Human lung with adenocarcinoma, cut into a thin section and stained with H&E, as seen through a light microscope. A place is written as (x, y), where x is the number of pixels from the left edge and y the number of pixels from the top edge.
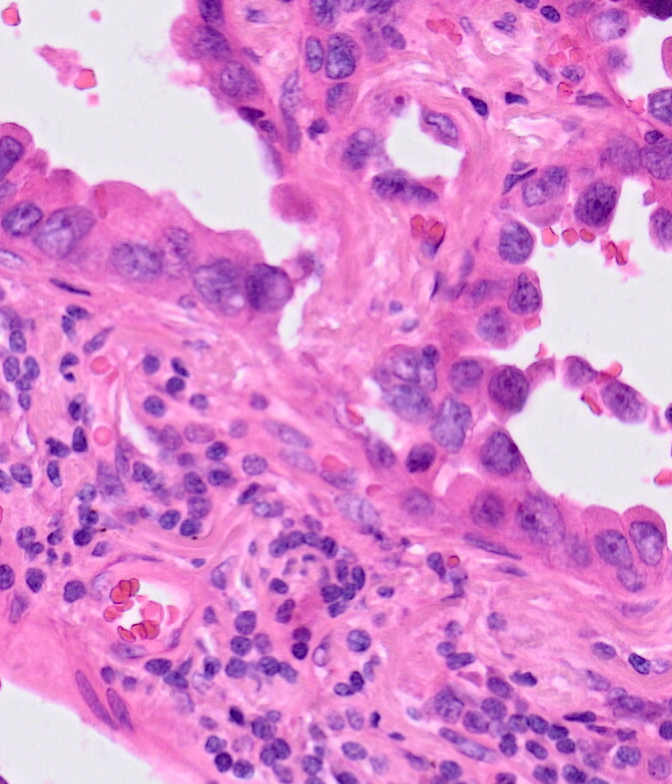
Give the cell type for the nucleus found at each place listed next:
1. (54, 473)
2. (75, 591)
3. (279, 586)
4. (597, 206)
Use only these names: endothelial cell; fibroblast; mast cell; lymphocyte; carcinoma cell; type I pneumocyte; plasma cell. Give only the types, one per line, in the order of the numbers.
lymphocyte
lymphocyte
lymphocyte
carcinoma cell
